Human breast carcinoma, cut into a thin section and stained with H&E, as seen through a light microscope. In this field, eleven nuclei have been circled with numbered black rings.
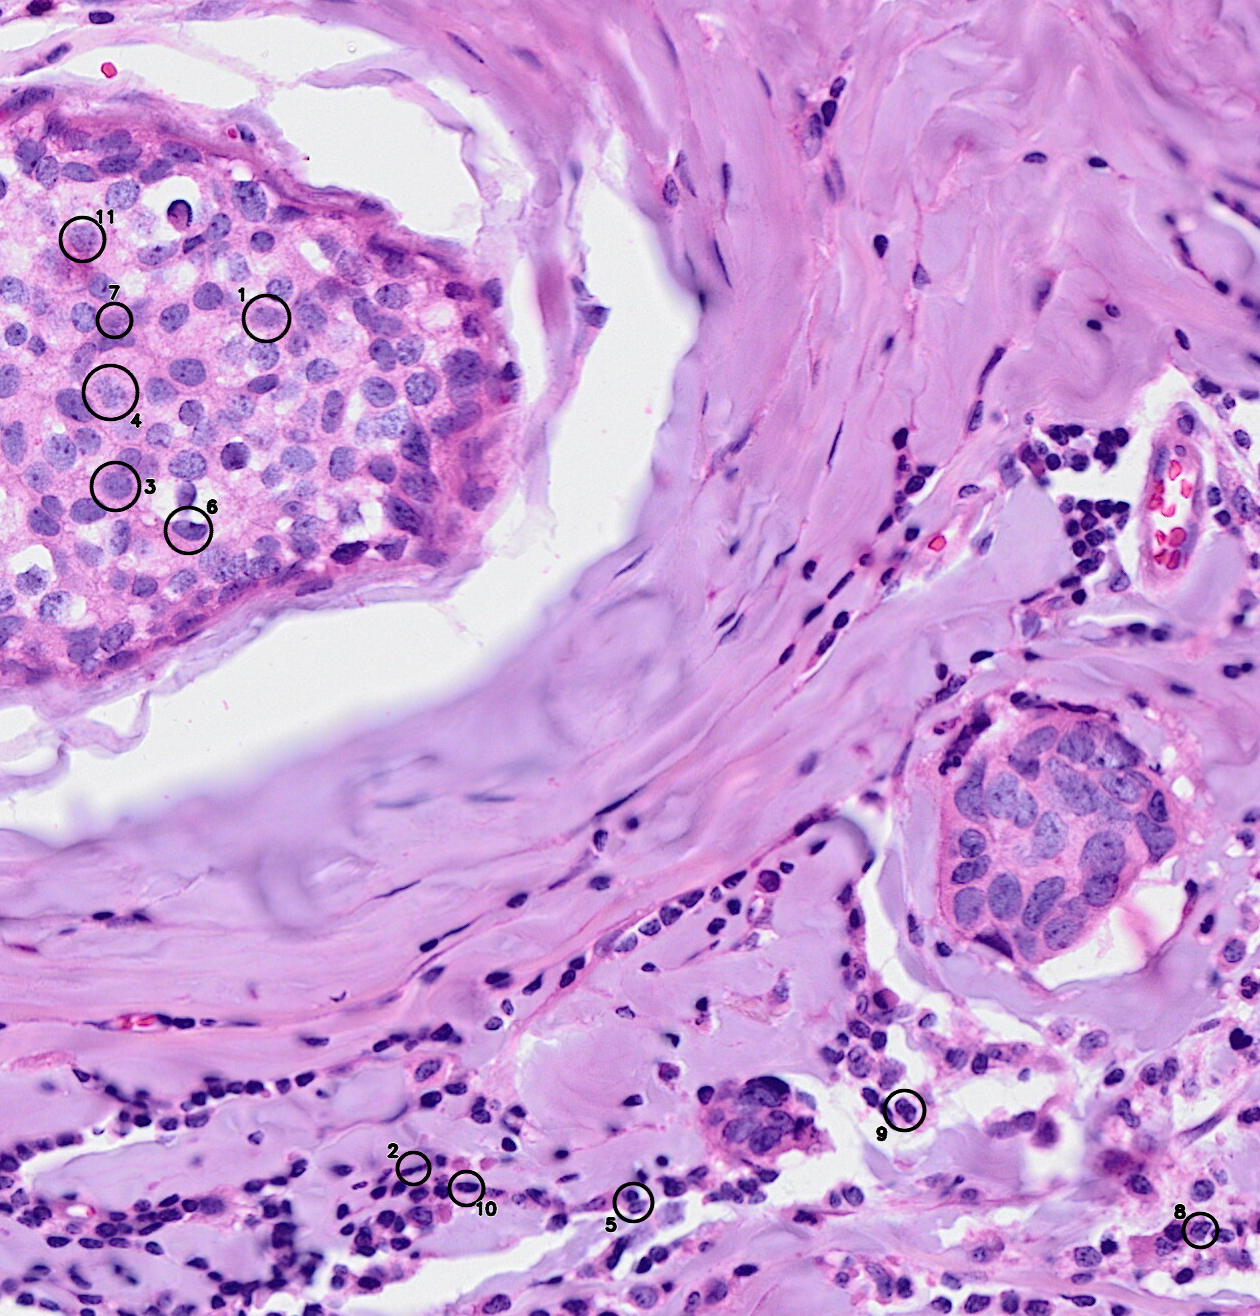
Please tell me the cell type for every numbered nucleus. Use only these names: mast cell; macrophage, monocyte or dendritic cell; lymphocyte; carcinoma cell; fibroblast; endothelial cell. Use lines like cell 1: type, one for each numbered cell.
cell 1: carcinoma cell
cell 2: lymphocyte
cell 3: carcinoma cell
cell 4: carcinoma cell
cell 5: lymphocyte
cell 6: carcinoma cell
cell 7: carcinoma cell
cell 8: lymphocyte
cell 9: lymphocyte
cell 10: lymphocyte
cell 11: carcinoma cell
